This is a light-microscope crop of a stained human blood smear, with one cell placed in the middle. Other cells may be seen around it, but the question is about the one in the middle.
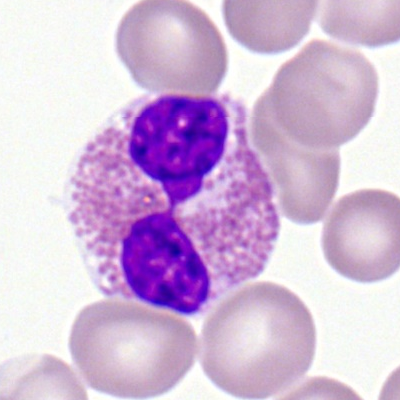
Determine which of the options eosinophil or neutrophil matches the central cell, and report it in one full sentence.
Occupying the centre of the crop is an eosinophil.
